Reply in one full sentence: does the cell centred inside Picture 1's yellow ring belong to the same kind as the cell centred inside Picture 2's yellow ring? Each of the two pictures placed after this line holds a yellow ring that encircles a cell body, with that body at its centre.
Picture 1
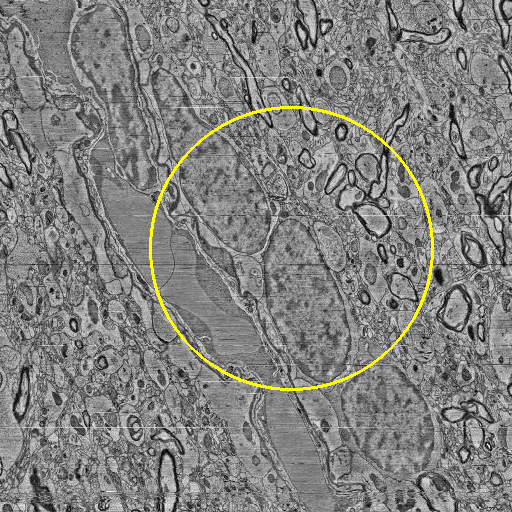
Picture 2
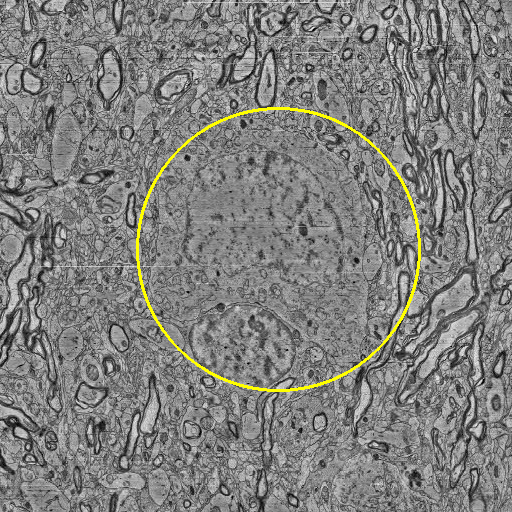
No, the ring-centred cells in Picture 1 and Picture 2 are of two separate kinds.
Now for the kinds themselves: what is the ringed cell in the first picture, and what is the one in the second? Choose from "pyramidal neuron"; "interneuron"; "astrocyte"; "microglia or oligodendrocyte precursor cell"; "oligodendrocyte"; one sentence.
Here the first cell is an oligodendrocyte and the second cell is an interneuron.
